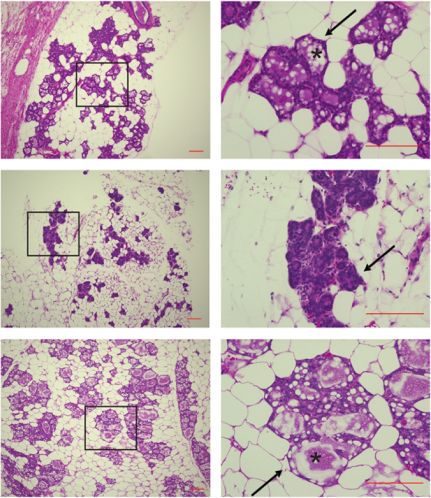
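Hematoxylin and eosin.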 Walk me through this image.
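Purple-staining epithelial lobules of mammary tissue are scattered among large, empty, rounded spaces with thin pink walls. In some rows the alveoli are wide with open lumens, while in another the epithelium forms compact, dense clusters with barely visible lumens.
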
